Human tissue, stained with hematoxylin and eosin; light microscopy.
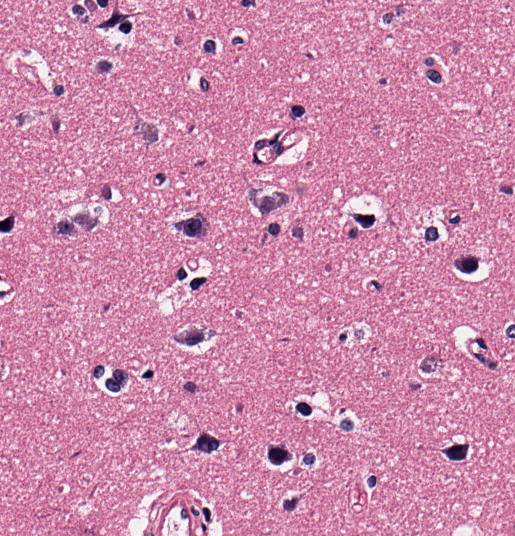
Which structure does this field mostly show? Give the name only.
cerebral cortex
